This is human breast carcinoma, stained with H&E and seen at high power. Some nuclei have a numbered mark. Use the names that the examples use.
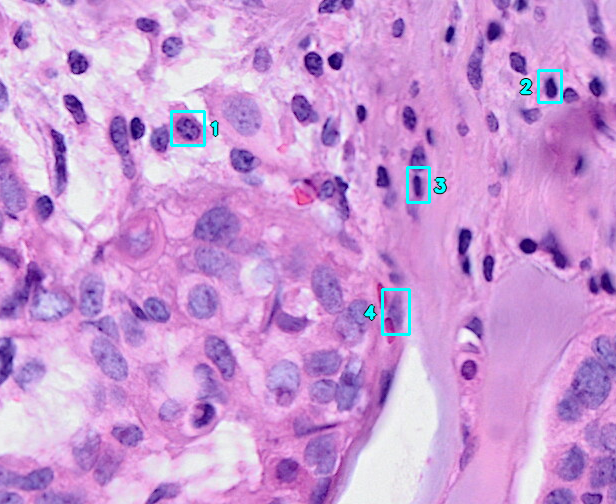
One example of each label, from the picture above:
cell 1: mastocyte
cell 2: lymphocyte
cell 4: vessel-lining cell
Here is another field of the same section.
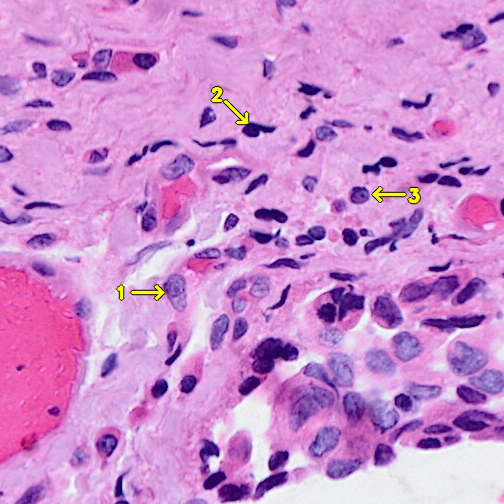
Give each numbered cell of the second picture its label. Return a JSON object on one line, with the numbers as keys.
{"1": "vessel-lining cell", "2": "lymphocyte", "3": "lymphocyte"}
